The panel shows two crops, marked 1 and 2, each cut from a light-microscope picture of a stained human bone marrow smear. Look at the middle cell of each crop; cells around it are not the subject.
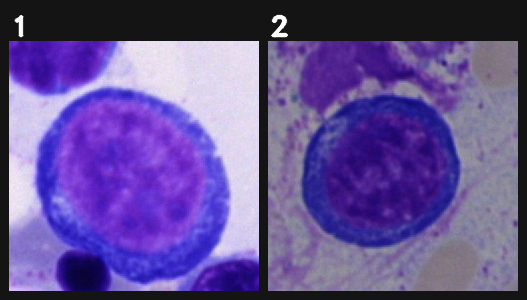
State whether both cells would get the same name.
yes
